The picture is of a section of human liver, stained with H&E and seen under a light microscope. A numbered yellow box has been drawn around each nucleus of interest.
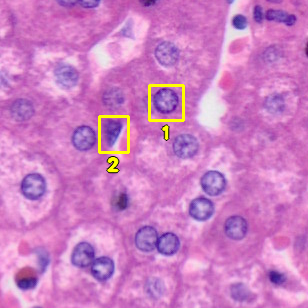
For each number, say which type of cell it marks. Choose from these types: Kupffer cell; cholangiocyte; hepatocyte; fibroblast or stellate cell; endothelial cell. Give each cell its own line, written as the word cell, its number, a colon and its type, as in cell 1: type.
cell 1: hepatocyte
cell 2: endothelial cell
